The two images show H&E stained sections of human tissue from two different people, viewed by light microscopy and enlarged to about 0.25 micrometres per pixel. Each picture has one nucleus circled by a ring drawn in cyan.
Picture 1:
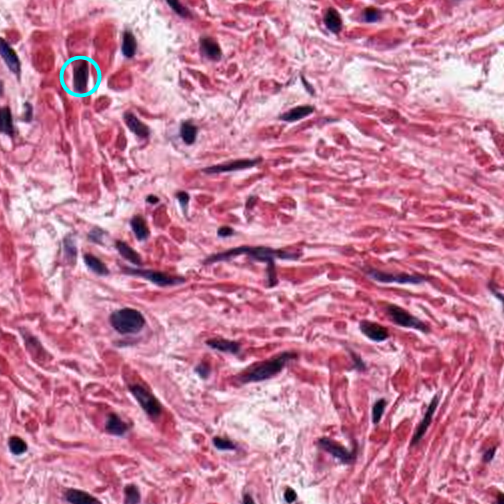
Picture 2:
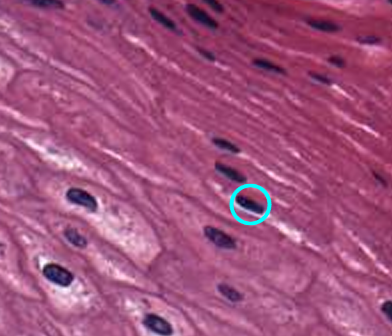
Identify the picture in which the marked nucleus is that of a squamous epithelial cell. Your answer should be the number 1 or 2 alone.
2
